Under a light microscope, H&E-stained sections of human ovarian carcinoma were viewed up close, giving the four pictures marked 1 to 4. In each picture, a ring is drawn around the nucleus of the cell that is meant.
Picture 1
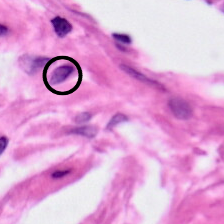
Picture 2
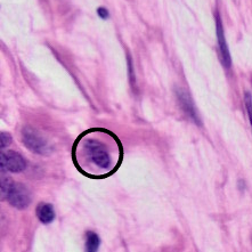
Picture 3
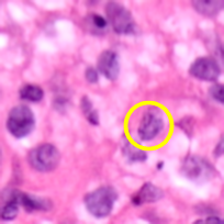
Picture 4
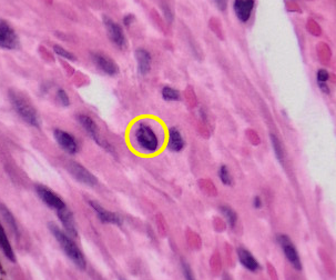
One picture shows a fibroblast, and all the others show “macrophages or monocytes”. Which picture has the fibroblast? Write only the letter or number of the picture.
1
